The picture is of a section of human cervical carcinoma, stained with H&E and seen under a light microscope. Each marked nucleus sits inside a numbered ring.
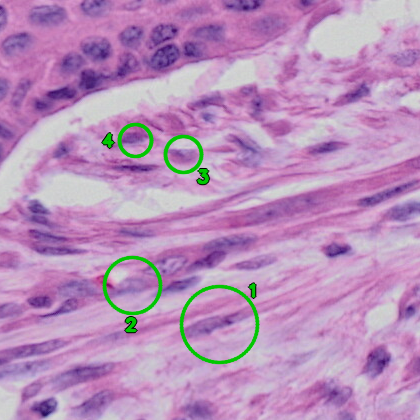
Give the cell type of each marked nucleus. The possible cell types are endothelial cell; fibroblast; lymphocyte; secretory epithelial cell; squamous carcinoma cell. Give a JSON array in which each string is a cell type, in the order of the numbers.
["fibroblast", "endothelial cell", "fibroblast", "fibroblast"]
